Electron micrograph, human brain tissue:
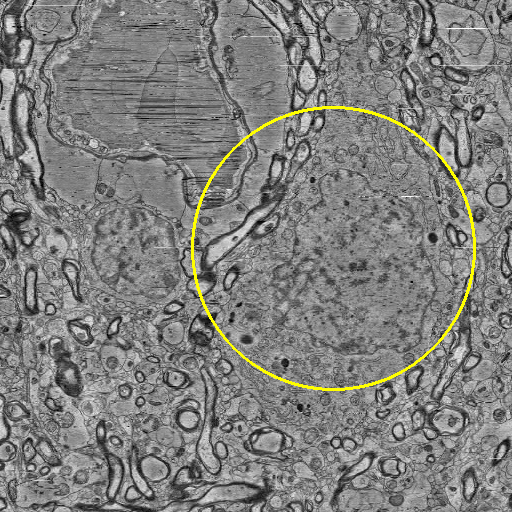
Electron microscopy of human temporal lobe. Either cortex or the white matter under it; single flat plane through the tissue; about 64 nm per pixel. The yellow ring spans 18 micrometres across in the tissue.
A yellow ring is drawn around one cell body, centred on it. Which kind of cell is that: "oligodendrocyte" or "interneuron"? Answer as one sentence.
It is an interneuron at the centre of the ring.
